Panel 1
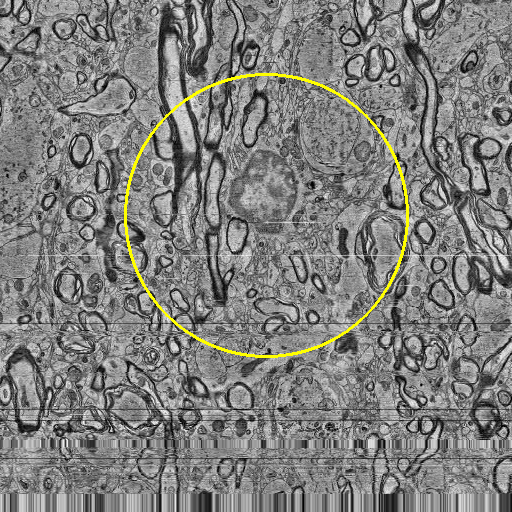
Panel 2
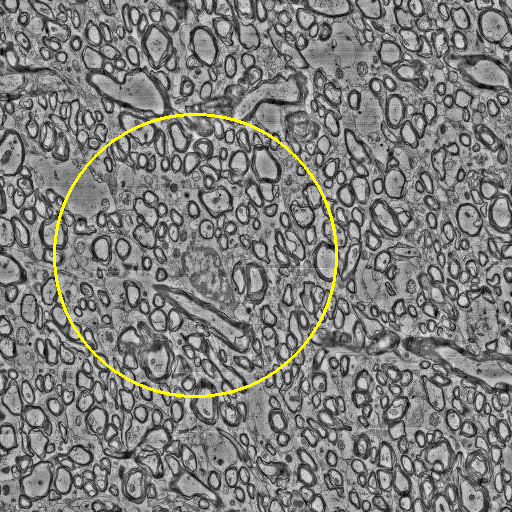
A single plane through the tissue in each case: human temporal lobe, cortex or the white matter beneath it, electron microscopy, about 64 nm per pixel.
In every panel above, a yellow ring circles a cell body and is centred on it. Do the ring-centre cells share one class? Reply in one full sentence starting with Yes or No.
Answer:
Yes, the two cells at the ring centres in the panels belong to one class.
